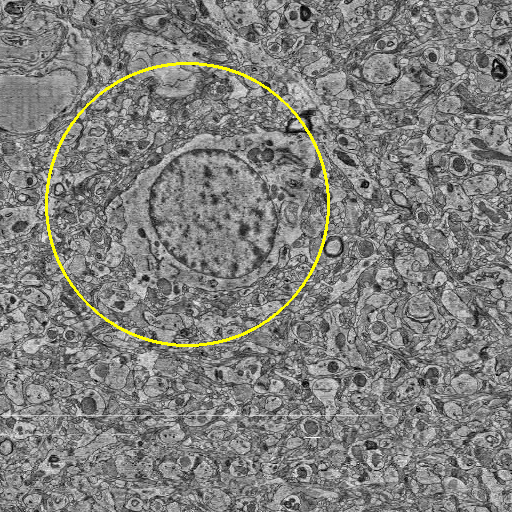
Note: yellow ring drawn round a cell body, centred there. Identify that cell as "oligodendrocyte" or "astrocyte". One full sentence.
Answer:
The cell in the middle of the ring is an astrocyte.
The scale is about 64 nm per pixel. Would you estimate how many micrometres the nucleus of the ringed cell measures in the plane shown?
In this plane, approximately 9 by 8 micrometers.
